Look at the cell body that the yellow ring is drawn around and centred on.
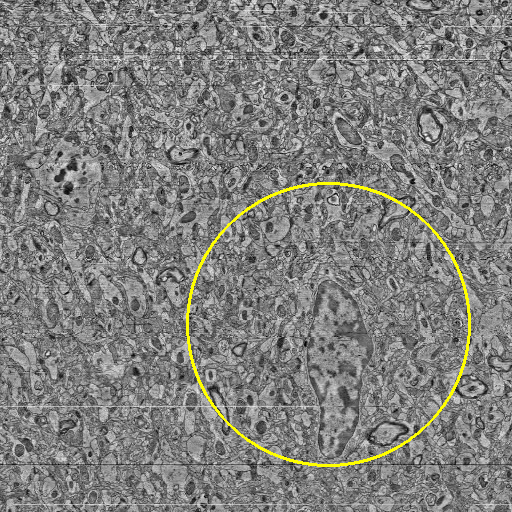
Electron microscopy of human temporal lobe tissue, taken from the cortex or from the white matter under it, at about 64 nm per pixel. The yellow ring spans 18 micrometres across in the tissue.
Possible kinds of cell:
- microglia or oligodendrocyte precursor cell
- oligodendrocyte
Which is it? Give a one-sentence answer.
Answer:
The centred cell body is that of a microglial cell or oligodendrocyte precursor cell.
